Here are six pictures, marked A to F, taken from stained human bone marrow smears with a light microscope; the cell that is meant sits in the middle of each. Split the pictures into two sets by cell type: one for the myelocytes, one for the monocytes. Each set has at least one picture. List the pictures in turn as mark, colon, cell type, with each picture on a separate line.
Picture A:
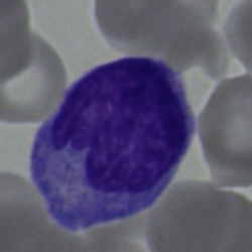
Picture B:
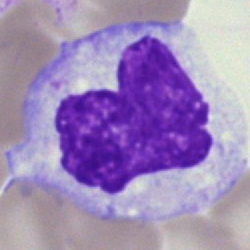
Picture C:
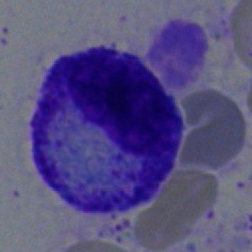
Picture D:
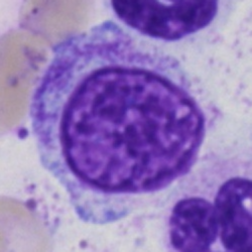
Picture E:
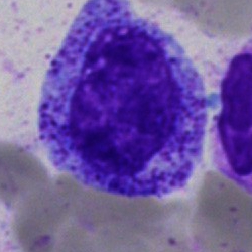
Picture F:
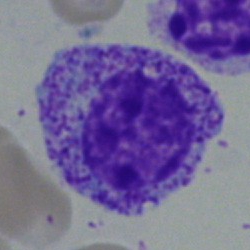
A: monocyte
B: monocyte
C: myelocyte
D: myelocyte
E: myelocyte
F: myelocyte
